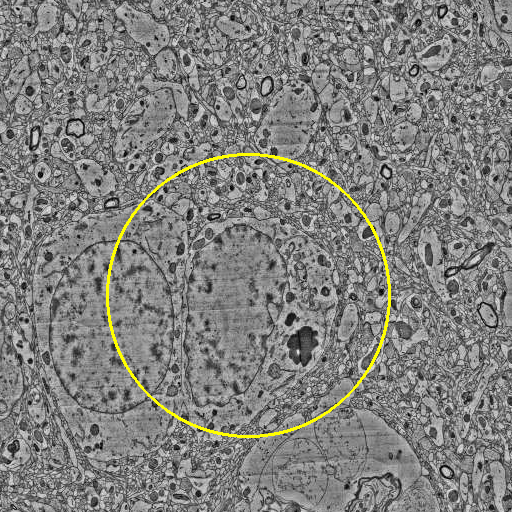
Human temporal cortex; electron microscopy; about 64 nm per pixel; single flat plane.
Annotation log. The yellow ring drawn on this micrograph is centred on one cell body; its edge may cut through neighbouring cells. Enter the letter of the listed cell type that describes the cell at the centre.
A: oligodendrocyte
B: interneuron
B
